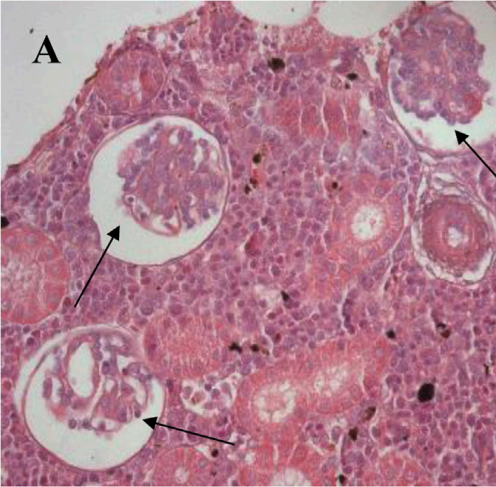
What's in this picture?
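Section of kidney showing several glomeruli, each a rounded tuft of cells lying within a capsule separated from it by a wide clear space, so that the tufts look shrunken. Around them lies dense interstitial tissue packed with small round cells with purple nuclei, among which run tubules lined by pink-staining epithelium around a pale lumen. Scattered black pigment deposits lie in the interstitium.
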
